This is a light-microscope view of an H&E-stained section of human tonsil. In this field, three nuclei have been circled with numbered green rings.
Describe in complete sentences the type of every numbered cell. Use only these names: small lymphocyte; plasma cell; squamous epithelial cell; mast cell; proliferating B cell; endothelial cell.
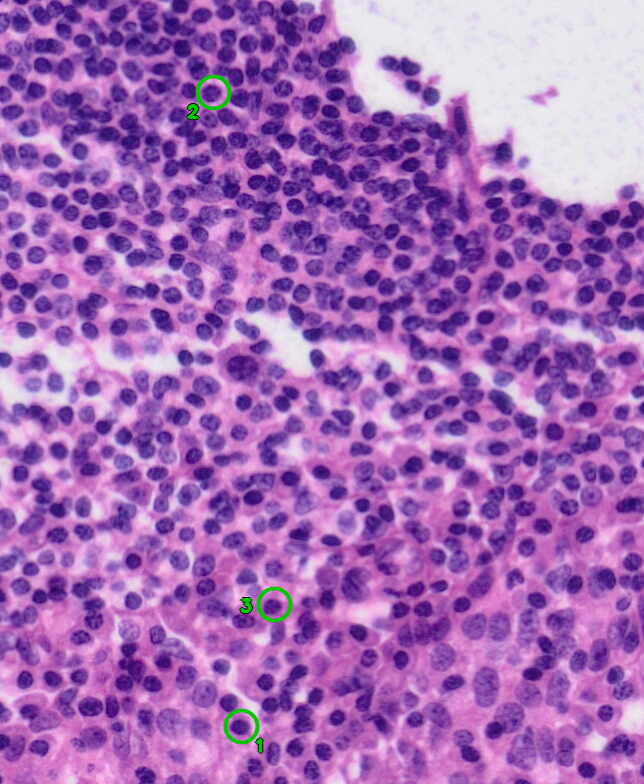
Cell 1 is a plasma cell, cell 2 is a small lymphocyte and cell 3 is a plasma cell.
